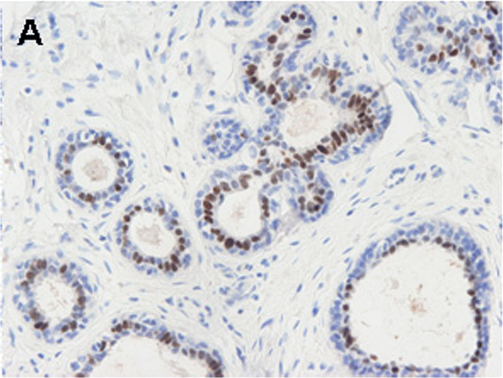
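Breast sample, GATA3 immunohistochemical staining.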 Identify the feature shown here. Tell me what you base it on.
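Ducts. Round and branching tubes with a central open lumen. Each tube is lined by a two-layered epithelium set in loose fibrous stroma.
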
